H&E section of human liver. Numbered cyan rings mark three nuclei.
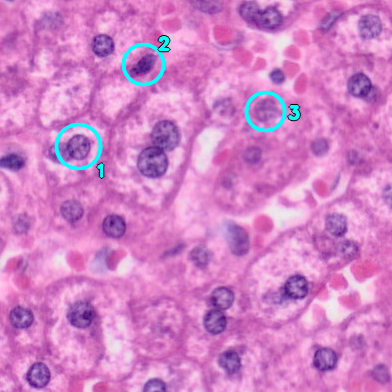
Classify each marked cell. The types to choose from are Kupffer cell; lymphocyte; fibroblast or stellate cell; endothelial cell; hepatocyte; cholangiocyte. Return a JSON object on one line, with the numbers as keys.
{"1": "hepatocyte", "2": "fibroblast or stellate cell", "3": "hepatocyte"}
